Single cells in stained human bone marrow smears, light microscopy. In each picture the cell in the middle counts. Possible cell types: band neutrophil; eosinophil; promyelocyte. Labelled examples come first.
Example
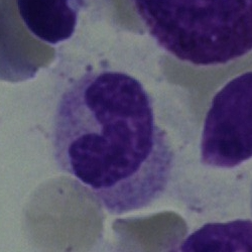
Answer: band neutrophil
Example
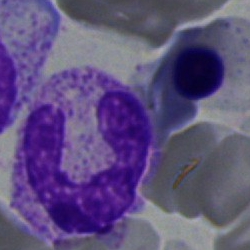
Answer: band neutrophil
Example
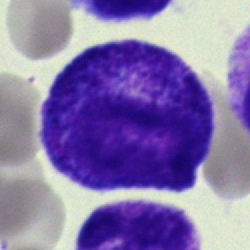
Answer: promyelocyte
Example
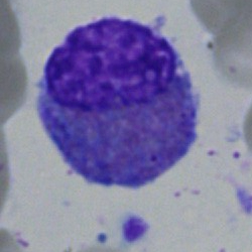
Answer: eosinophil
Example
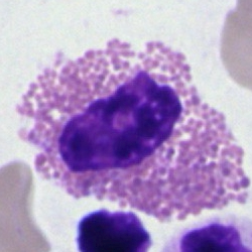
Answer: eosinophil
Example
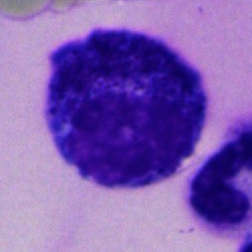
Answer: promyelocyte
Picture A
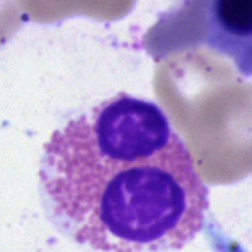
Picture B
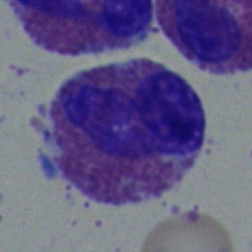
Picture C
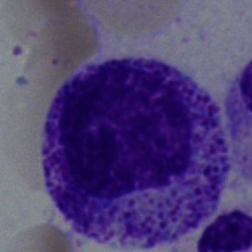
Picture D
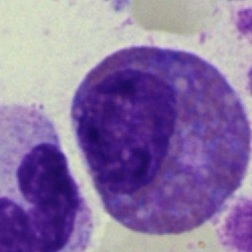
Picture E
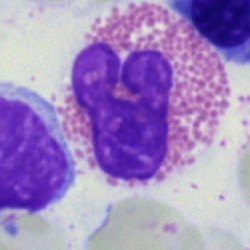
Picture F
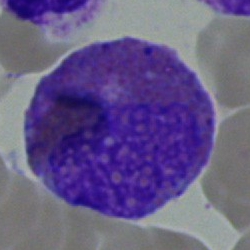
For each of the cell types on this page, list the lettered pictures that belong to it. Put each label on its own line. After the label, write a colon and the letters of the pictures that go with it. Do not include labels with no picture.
eosinophil: A, B, D, E, F
promyelocyte: C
